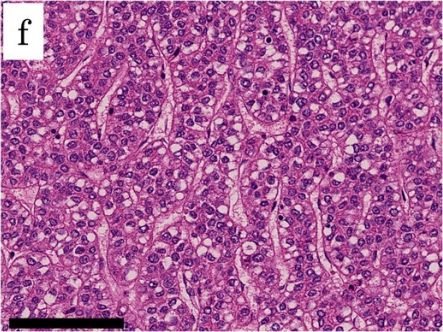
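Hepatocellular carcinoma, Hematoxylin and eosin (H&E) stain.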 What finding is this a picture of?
Vacuolated cytoplasm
